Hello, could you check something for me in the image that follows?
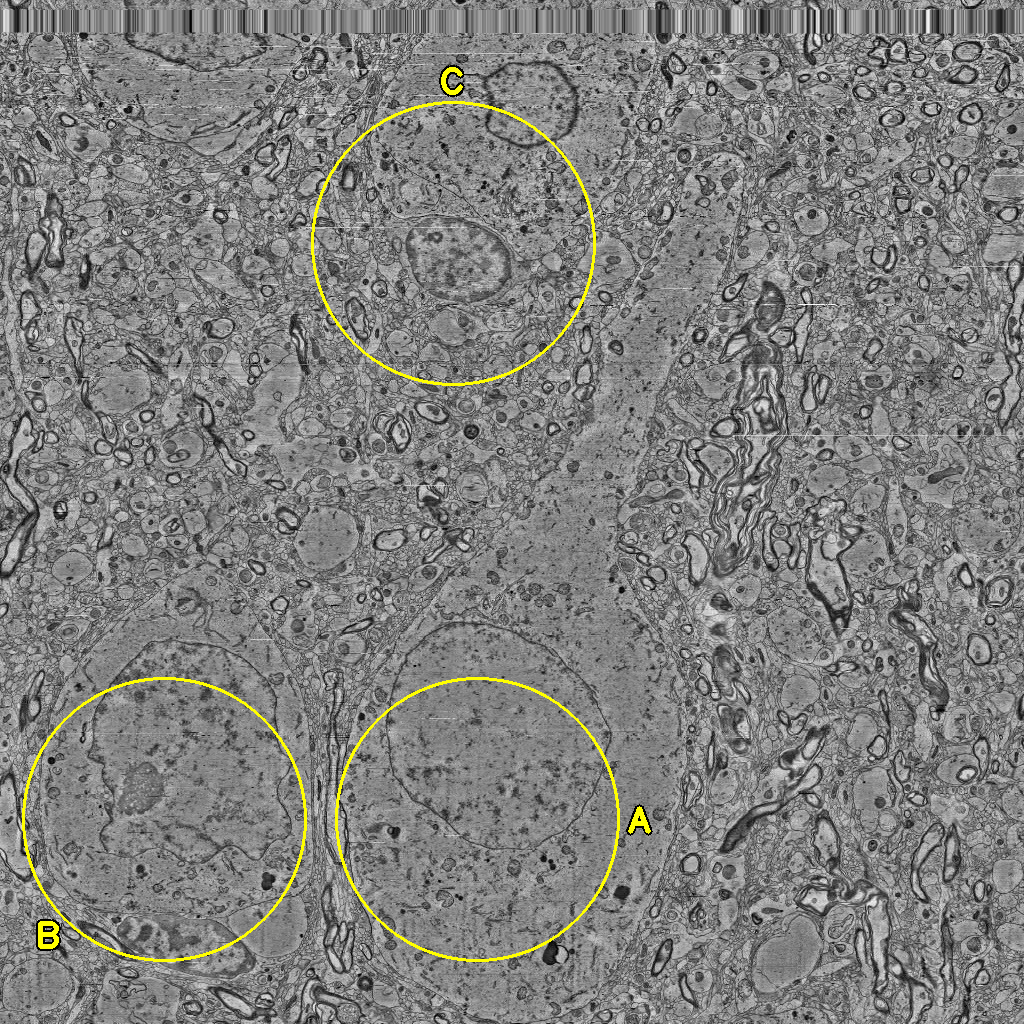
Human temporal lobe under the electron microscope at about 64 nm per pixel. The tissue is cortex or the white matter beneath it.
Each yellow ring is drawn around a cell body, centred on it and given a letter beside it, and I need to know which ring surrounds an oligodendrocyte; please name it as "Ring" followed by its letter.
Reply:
Ring C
